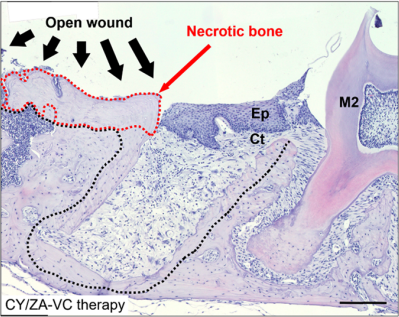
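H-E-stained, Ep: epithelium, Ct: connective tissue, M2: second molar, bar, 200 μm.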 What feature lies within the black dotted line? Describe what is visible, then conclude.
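Tooth extraction sockets. The black dotted line encloses a U-shaped space beside a tooth root, bounded by pink bone walls. The enclosed space is filled with loose pale fibrous tissue rather than compact bone.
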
